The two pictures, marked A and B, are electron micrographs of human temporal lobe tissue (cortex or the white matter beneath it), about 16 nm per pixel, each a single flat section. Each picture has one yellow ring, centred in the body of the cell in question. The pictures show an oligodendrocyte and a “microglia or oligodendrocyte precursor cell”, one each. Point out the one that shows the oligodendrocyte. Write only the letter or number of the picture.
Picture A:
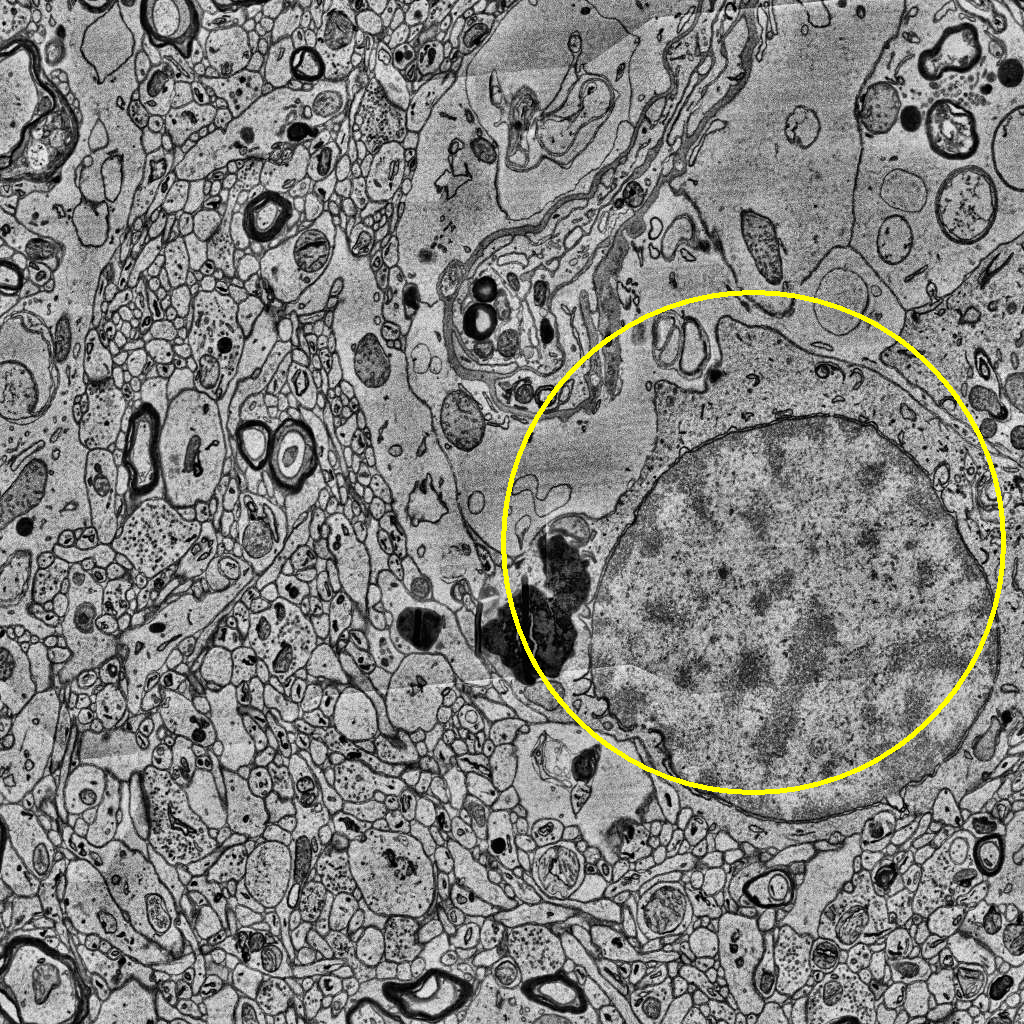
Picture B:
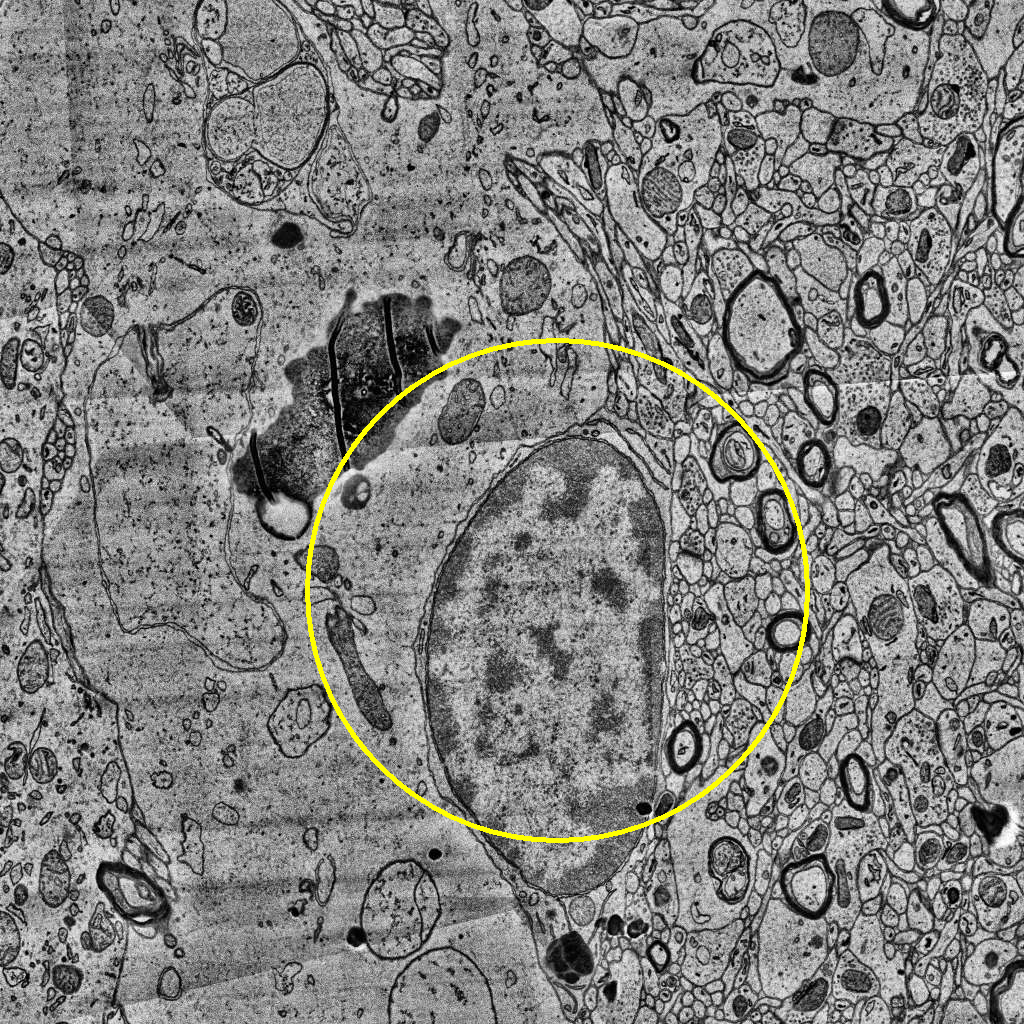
A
